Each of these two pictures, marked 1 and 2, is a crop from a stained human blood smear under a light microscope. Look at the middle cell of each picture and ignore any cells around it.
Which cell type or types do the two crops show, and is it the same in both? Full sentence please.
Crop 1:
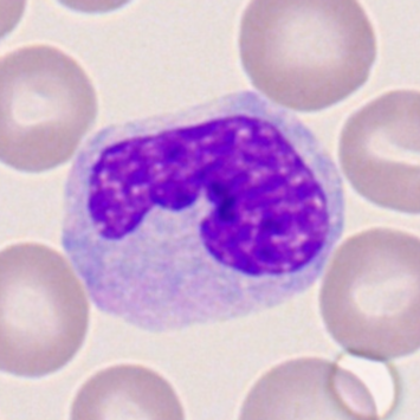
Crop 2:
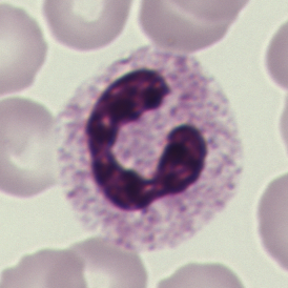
No, the cells are a monocyte in crop 1 and a neutrophil in crop 2.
